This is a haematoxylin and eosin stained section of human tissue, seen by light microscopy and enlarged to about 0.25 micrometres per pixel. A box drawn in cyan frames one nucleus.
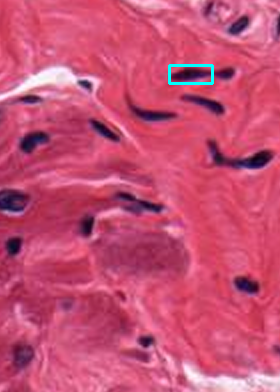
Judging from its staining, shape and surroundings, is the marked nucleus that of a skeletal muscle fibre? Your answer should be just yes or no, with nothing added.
no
